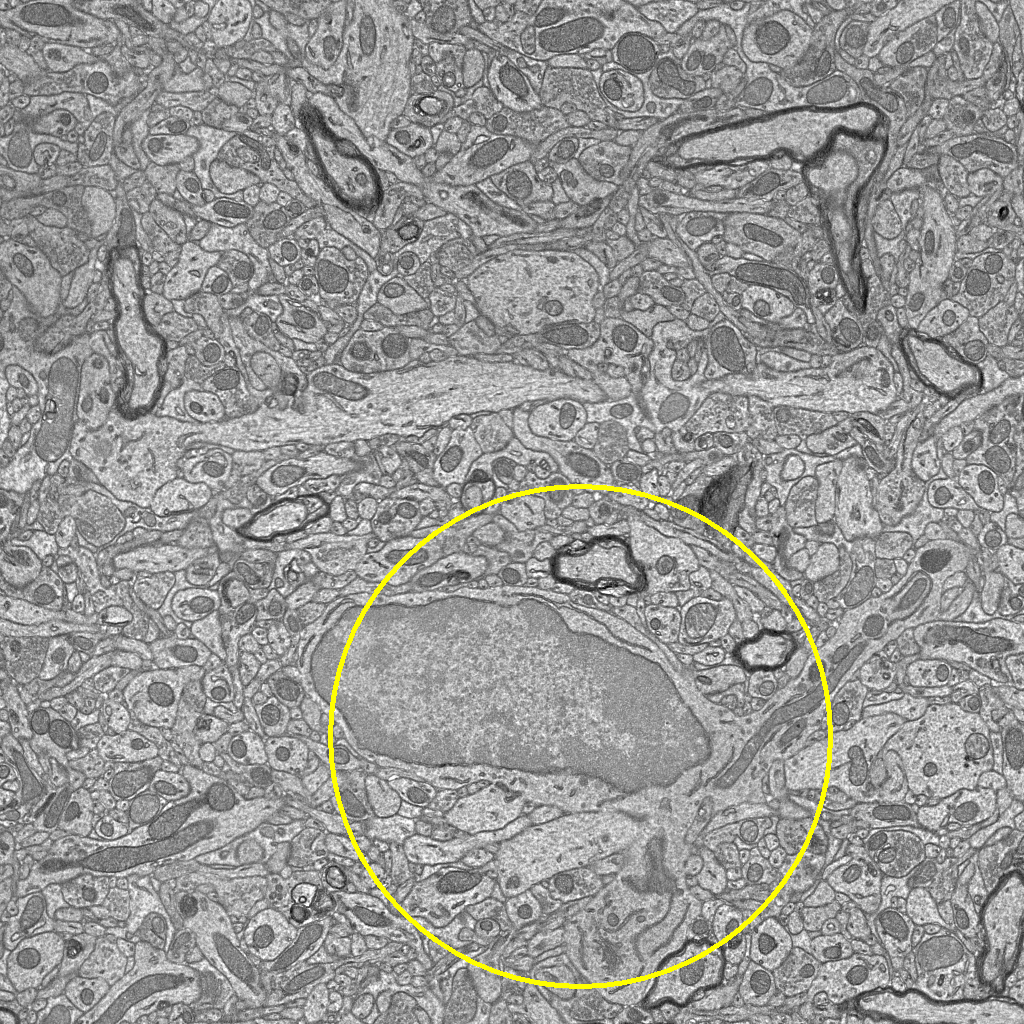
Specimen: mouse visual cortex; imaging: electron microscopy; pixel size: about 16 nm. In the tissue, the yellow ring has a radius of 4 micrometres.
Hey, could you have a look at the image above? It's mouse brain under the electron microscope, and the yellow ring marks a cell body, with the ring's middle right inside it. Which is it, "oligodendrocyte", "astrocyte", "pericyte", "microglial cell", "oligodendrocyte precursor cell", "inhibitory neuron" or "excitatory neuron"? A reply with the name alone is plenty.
microglial cell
